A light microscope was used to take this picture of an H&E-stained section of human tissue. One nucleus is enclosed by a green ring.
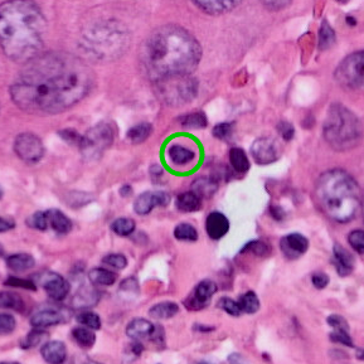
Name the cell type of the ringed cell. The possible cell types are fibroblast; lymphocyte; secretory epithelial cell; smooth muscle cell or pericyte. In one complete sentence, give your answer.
Typologically, the ringed cell is a lymphocyte in this section.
